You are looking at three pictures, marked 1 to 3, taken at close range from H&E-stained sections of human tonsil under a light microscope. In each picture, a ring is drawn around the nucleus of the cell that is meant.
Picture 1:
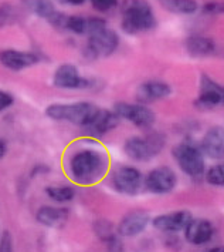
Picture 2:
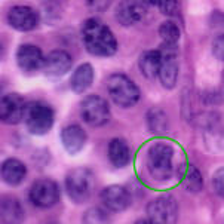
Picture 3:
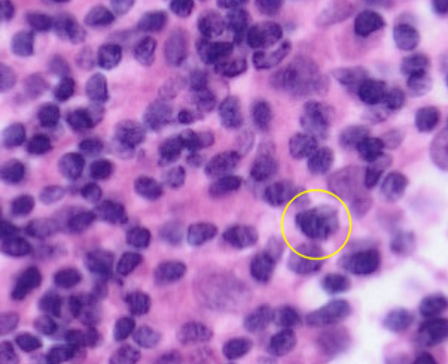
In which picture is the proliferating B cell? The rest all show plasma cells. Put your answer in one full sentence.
The picture with the proliferating B cell is 3.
